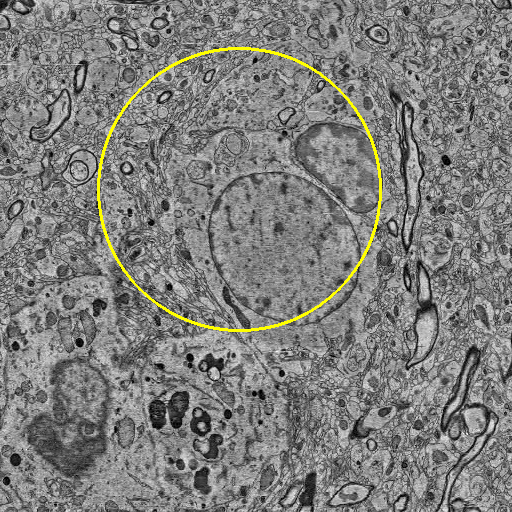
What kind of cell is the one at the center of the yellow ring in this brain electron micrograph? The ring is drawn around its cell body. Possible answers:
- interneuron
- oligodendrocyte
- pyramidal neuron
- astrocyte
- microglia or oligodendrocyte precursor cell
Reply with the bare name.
astrocyte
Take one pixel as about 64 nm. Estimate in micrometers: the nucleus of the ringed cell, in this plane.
The nucleus of the ringed cell is approximately 11 by 9 micrometres in this plane.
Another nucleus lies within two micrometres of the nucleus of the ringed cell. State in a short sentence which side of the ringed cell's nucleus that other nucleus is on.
The second nucleus lies to the upper right of it.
